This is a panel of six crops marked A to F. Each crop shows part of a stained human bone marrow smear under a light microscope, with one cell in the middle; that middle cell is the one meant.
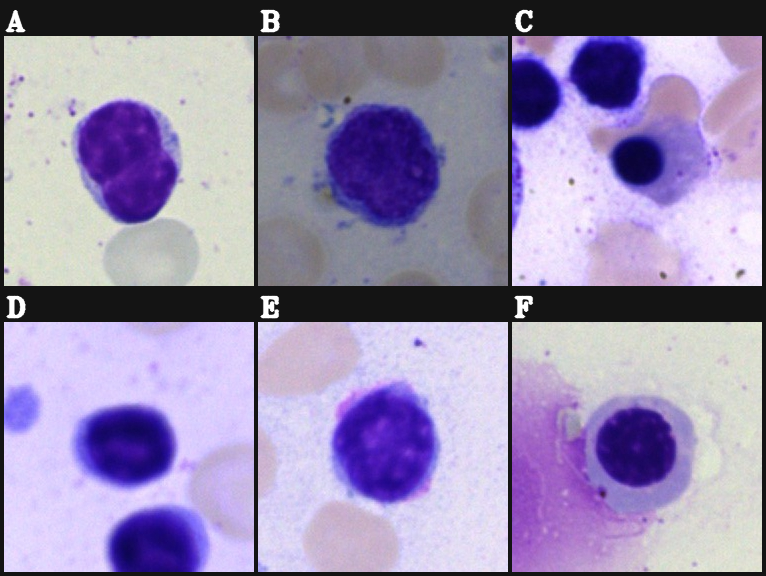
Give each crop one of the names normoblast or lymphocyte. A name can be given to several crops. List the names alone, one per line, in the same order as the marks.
lymphocyte
lymphocyte
normoblast
lymphocyte
lymphocyte
normoblast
